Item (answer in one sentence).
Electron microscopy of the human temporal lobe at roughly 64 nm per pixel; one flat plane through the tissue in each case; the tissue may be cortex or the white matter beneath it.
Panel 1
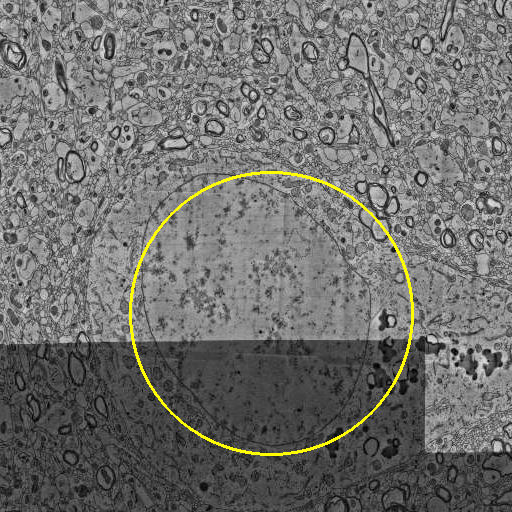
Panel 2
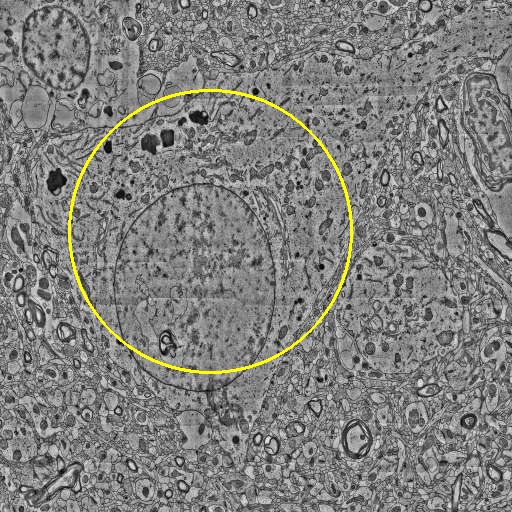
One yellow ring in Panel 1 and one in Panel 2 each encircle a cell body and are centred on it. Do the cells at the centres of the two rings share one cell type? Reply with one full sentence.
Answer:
Yes, Panel 1 and Panel 2 show cells of one type at the centres of their rings.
